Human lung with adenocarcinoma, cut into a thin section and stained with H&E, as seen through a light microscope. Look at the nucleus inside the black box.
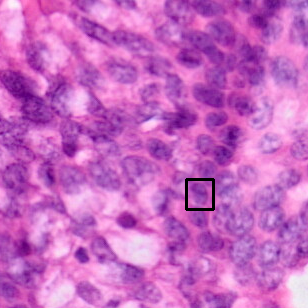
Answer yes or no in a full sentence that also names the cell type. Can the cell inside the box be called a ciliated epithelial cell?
Yes, a ciliated epithelial cell is what the cell inside the box is in this section.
